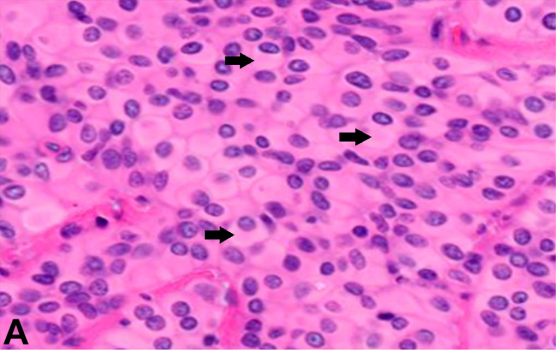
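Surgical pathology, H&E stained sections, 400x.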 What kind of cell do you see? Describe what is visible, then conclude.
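Sheets of cells with abundant pink cytoplasm. Round to oval eccentric nuclei with small nucleoli. Glassy pink cytoplasmic bodies in many cells.
Answer: rhabdoid tumor cells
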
